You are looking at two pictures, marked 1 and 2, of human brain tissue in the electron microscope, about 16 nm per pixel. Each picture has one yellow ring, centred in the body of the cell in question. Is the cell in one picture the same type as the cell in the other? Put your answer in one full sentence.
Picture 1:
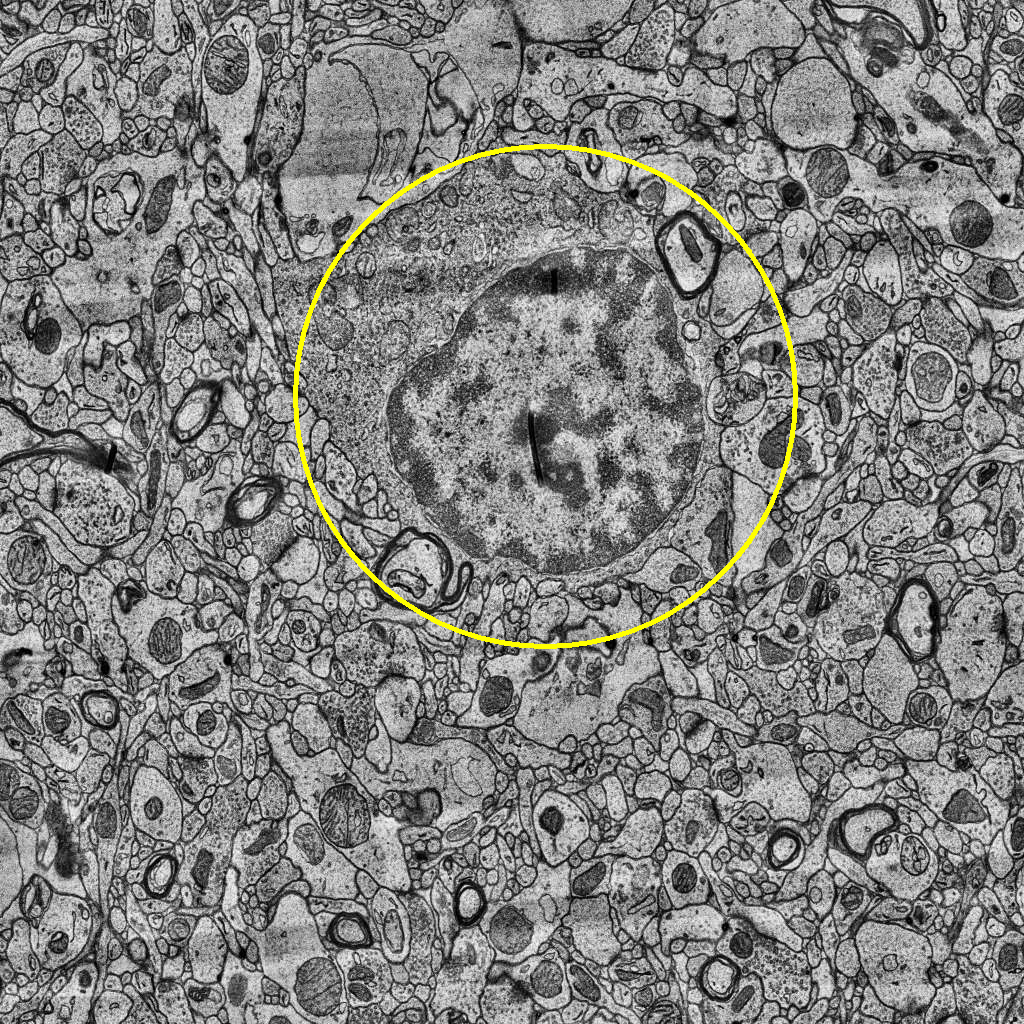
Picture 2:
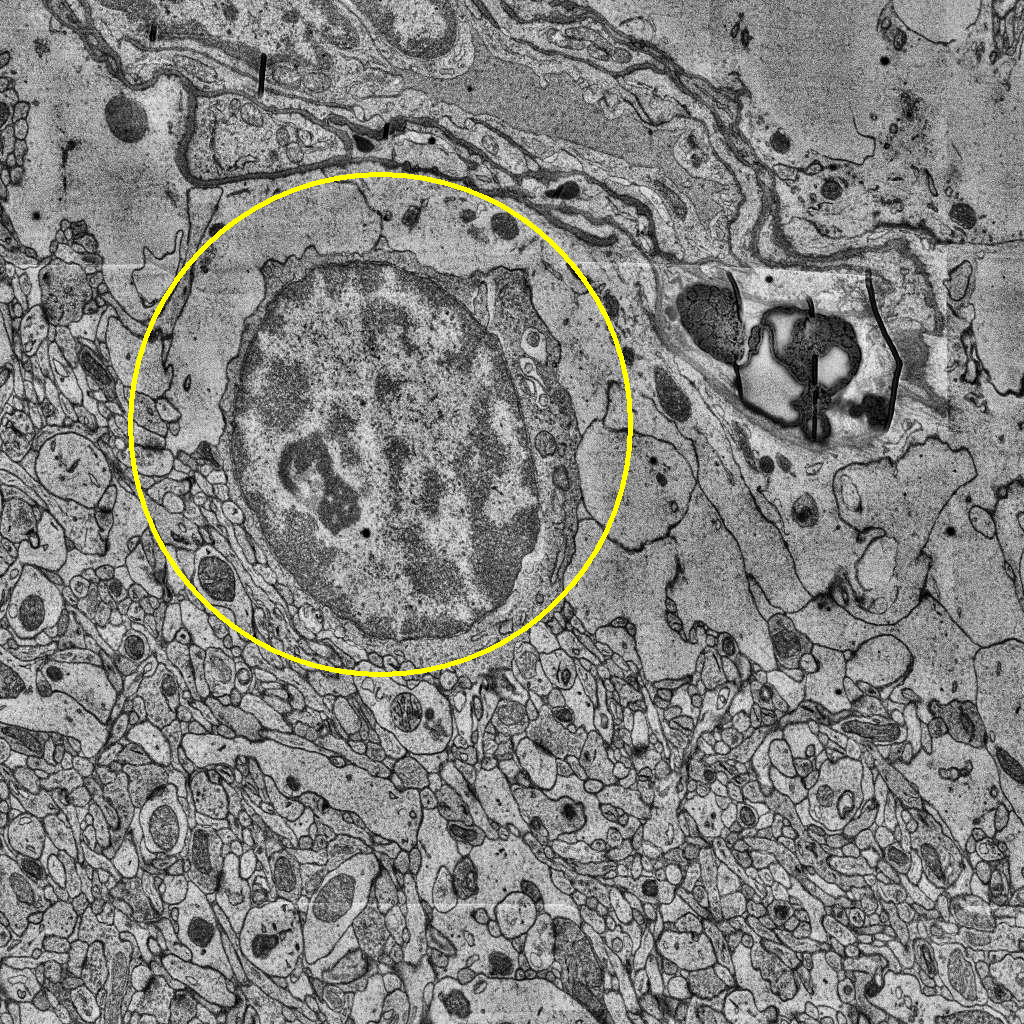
Yes, the two pictures both show oligodendrocytes.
